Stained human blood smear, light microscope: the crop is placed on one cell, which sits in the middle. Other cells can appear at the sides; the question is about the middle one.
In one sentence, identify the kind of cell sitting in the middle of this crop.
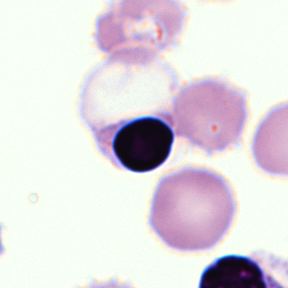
At the middle of the frame sits a normoblast.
